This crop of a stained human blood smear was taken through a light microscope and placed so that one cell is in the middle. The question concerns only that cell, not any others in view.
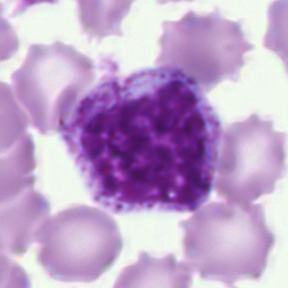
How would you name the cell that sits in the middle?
myelocyte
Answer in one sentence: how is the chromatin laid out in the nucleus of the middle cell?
Take a look at the chromatin, which is coarsely clumped.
